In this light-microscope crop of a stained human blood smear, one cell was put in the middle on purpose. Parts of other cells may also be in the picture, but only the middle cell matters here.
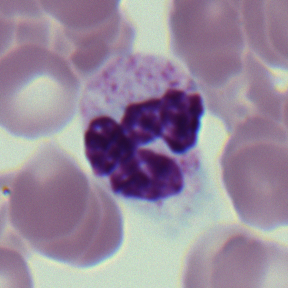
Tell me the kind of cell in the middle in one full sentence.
In this smear crop, the middle cell is a segmented neutrophil.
